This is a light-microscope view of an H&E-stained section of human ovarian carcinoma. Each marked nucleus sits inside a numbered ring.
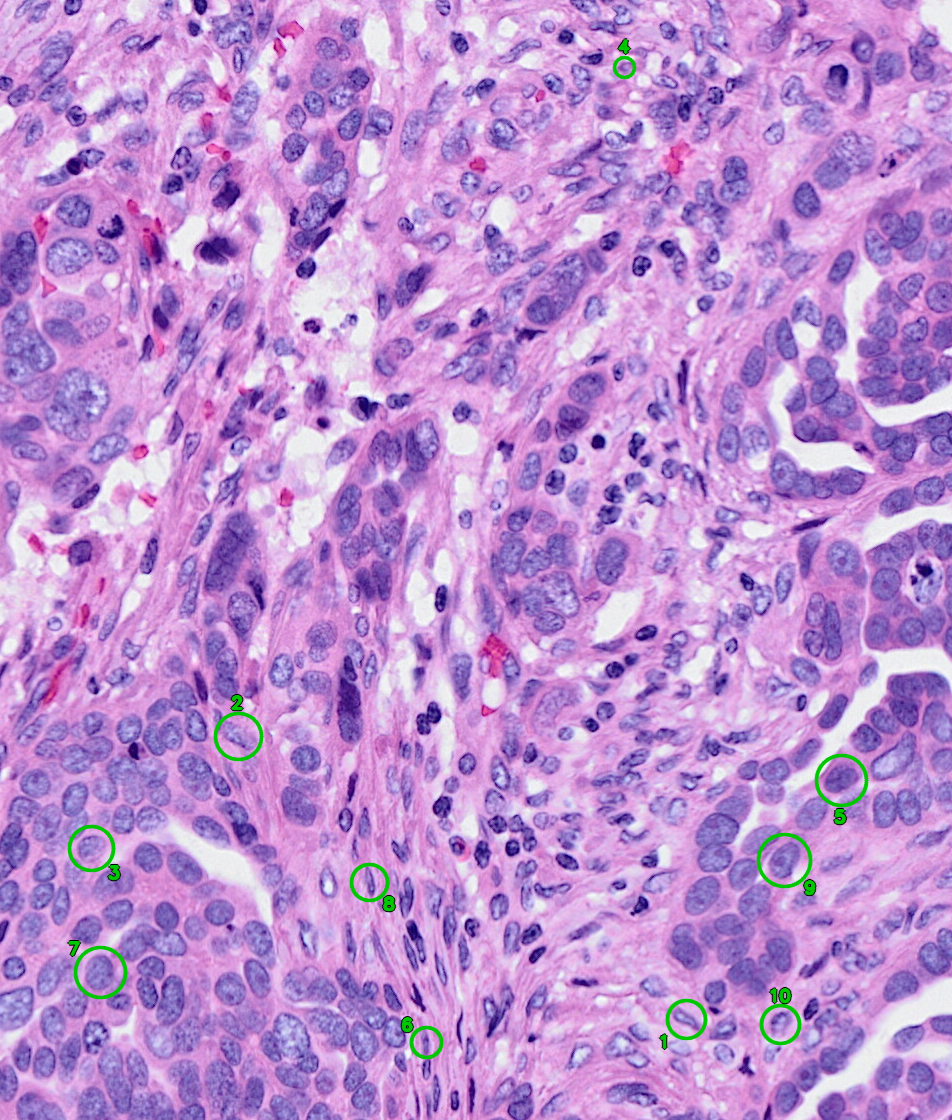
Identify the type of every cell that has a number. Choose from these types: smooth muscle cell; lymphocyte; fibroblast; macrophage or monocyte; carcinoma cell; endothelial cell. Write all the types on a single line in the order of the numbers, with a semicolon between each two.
fibroblast; fibroblast; carcinoma cell; fibroblast; carcinoma cell; fibroblast; carcinoma cell; fibroblast; carcinoma cell; fibroblast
